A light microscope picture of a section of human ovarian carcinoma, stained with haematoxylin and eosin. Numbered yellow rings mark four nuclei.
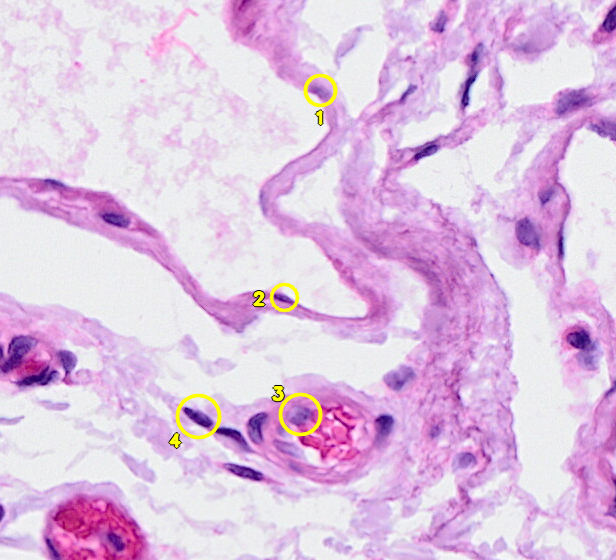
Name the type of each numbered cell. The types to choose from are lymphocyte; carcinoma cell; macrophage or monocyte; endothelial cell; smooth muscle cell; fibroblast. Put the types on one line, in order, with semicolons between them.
endothelial cell; endothelial cell; endothelial cell; fibroblast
